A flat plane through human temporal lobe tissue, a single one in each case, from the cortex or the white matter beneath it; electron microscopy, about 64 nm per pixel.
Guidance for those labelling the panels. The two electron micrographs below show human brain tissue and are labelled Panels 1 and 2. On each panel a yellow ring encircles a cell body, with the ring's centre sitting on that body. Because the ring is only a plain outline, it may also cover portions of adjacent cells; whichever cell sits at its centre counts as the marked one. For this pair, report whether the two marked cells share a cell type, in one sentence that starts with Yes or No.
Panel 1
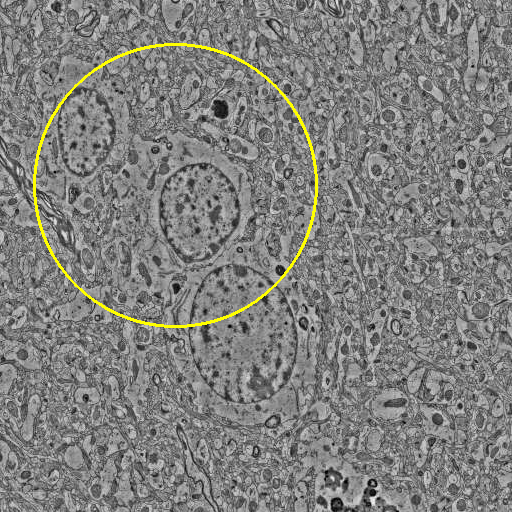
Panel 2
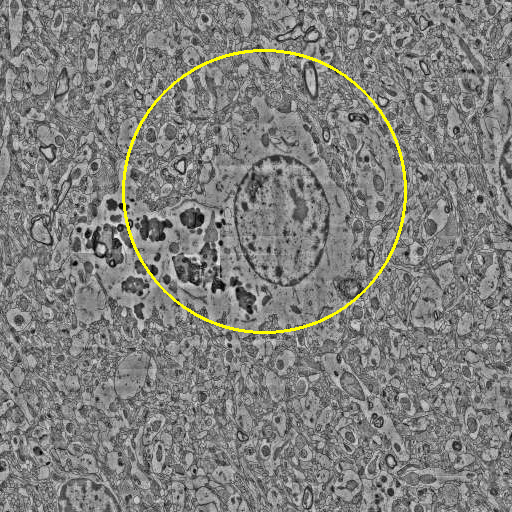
Yes, in Panel 1 and Panel 2 the marked cells at the ring centres share one type.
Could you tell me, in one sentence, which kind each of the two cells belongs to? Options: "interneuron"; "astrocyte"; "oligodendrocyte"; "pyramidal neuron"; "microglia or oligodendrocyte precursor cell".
Both cells are the same kind, each one being an astrocyte.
